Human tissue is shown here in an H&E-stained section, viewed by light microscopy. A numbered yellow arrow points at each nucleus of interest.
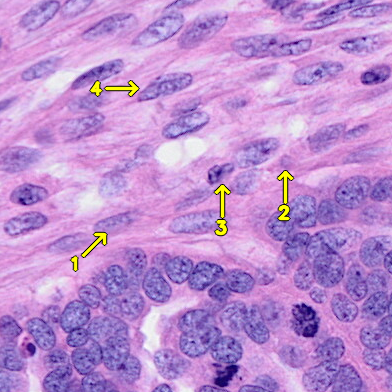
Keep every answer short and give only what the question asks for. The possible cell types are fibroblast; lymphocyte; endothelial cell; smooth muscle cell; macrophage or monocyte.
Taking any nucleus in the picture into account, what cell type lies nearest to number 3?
fibroblast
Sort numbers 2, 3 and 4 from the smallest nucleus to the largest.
2, 3, 4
